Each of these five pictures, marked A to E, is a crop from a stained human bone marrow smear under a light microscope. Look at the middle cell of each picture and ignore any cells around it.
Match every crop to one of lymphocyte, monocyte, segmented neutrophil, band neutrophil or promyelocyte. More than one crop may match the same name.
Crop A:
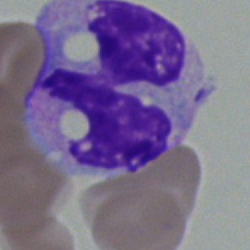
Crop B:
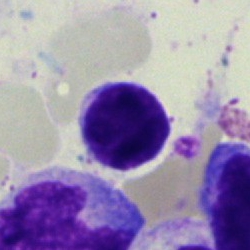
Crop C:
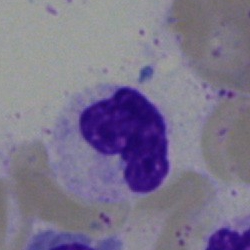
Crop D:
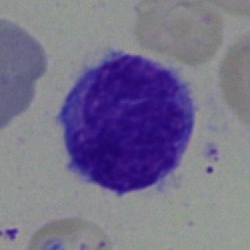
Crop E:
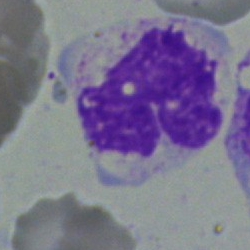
A: monocyte
B: lymphocyte
C: band neutrophil
D: monocyte
E: segmented neutrophil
